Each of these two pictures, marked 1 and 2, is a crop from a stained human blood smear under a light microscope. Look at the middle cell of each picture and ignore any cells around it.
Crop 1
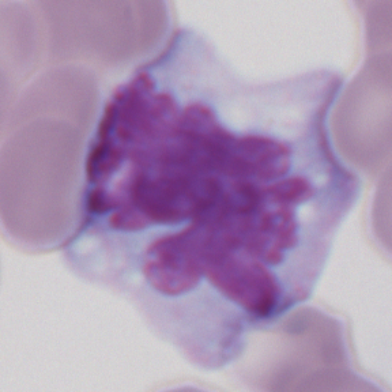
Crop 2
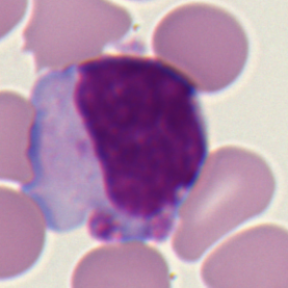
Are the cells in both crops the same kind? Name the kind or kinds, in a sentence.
No, a monocyte is centred in crop 1, and a large granular lymphocyte is centred in crop 2.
